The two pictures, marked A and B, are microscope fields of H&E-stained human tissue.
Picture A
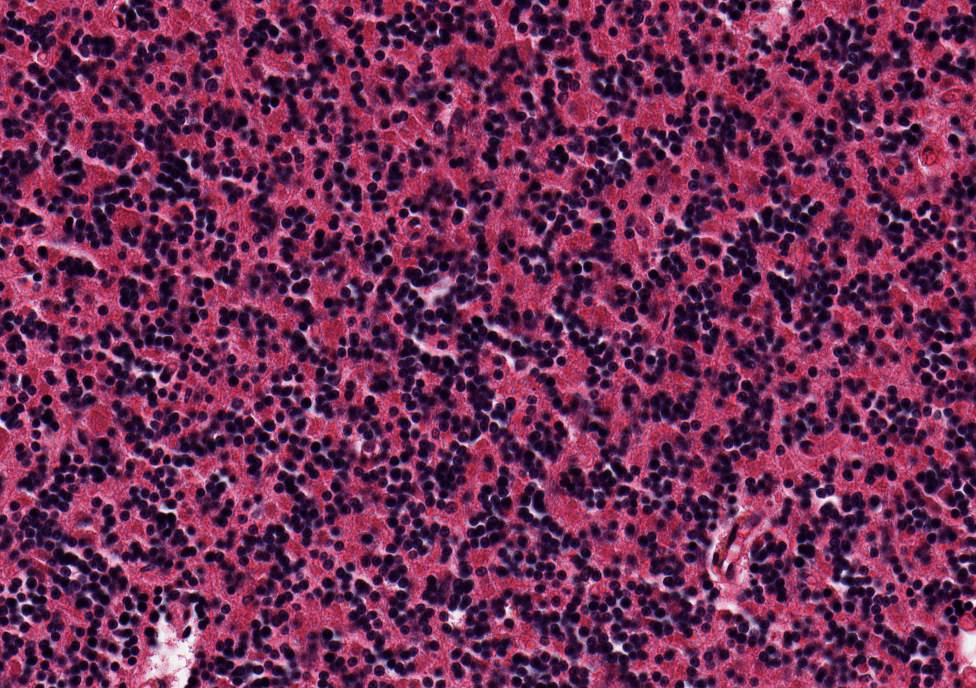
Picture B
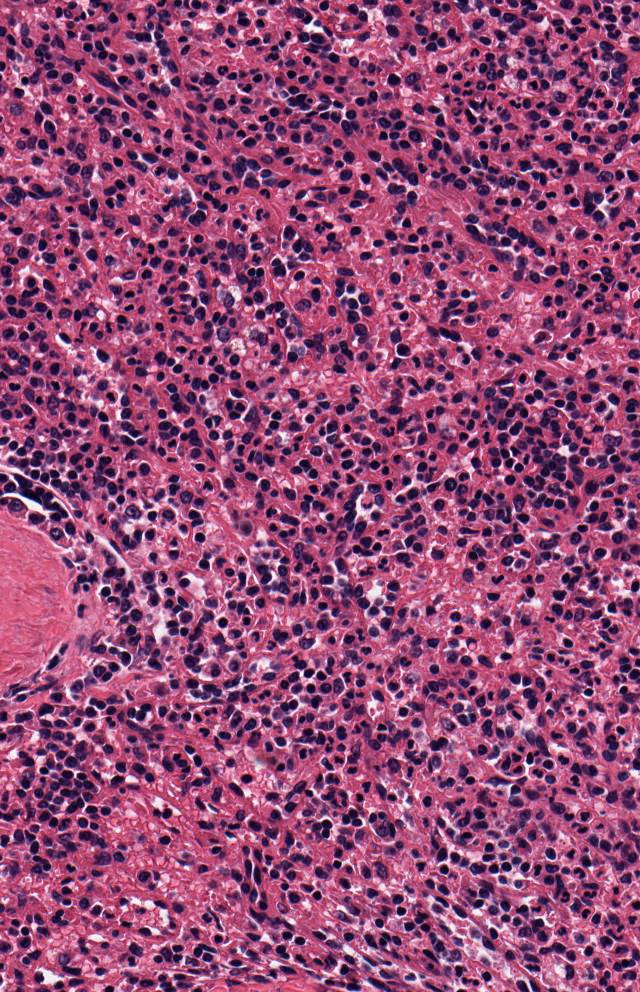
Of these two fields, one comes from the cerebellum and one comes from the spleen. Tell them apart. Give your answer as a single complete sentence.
Picture A comes from the cerebellum; picture B comes from the spleen.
